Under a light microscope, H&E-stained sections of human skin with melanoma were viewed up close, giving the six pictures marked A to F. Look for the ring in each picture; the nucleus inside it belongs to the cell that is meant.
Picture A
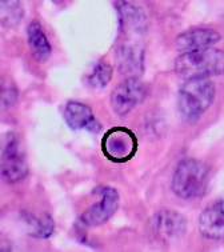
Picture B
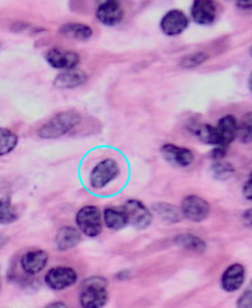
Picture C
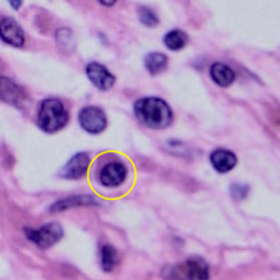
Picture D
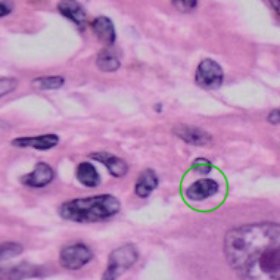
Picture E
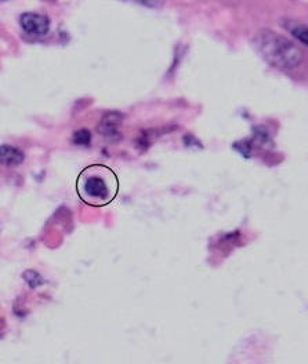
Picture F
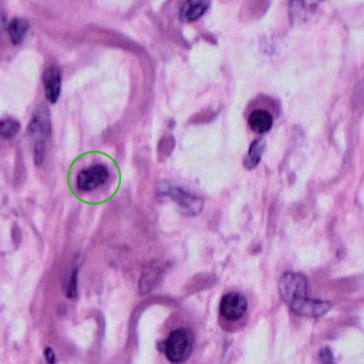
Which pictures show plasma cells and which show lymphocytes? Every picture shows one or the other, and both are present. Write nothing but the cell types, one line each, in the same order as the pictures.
lymphocyte
lymphocyte
plasma cell
lymphocyte
lymphocyte
plasma cell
